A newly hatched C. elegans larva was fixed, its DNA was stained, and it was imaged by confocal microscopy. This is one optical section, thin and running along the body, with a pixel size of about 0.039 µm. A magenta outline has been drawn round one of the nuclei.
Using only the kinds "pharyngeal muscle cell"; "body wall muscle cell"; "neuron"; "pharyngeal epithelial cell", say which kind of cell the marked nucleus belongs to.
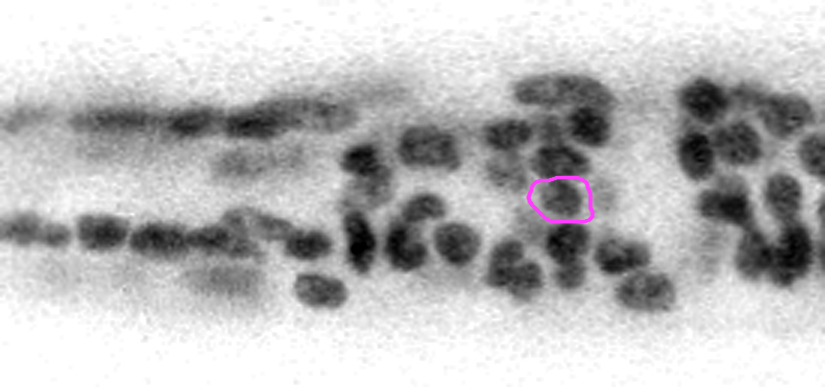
neuron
